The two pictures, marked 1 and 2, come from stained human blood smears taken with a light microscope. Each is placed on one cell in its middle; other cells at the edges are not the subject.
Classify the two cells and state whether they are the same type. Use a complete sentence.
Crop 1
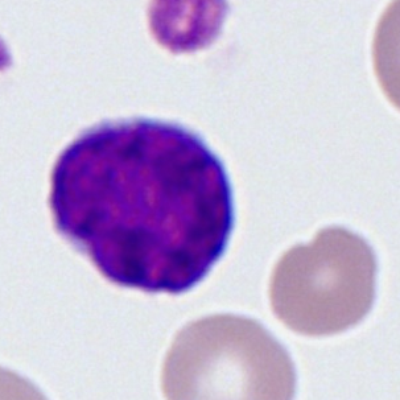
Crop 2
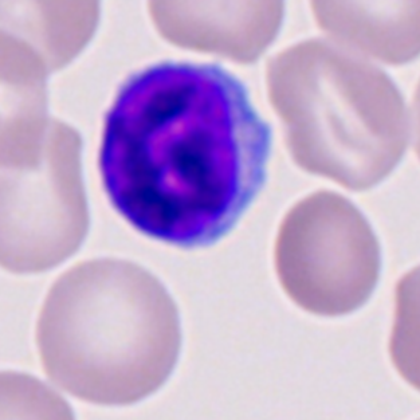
Yes, the middle cells in both crops are indeed lymphocytes.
